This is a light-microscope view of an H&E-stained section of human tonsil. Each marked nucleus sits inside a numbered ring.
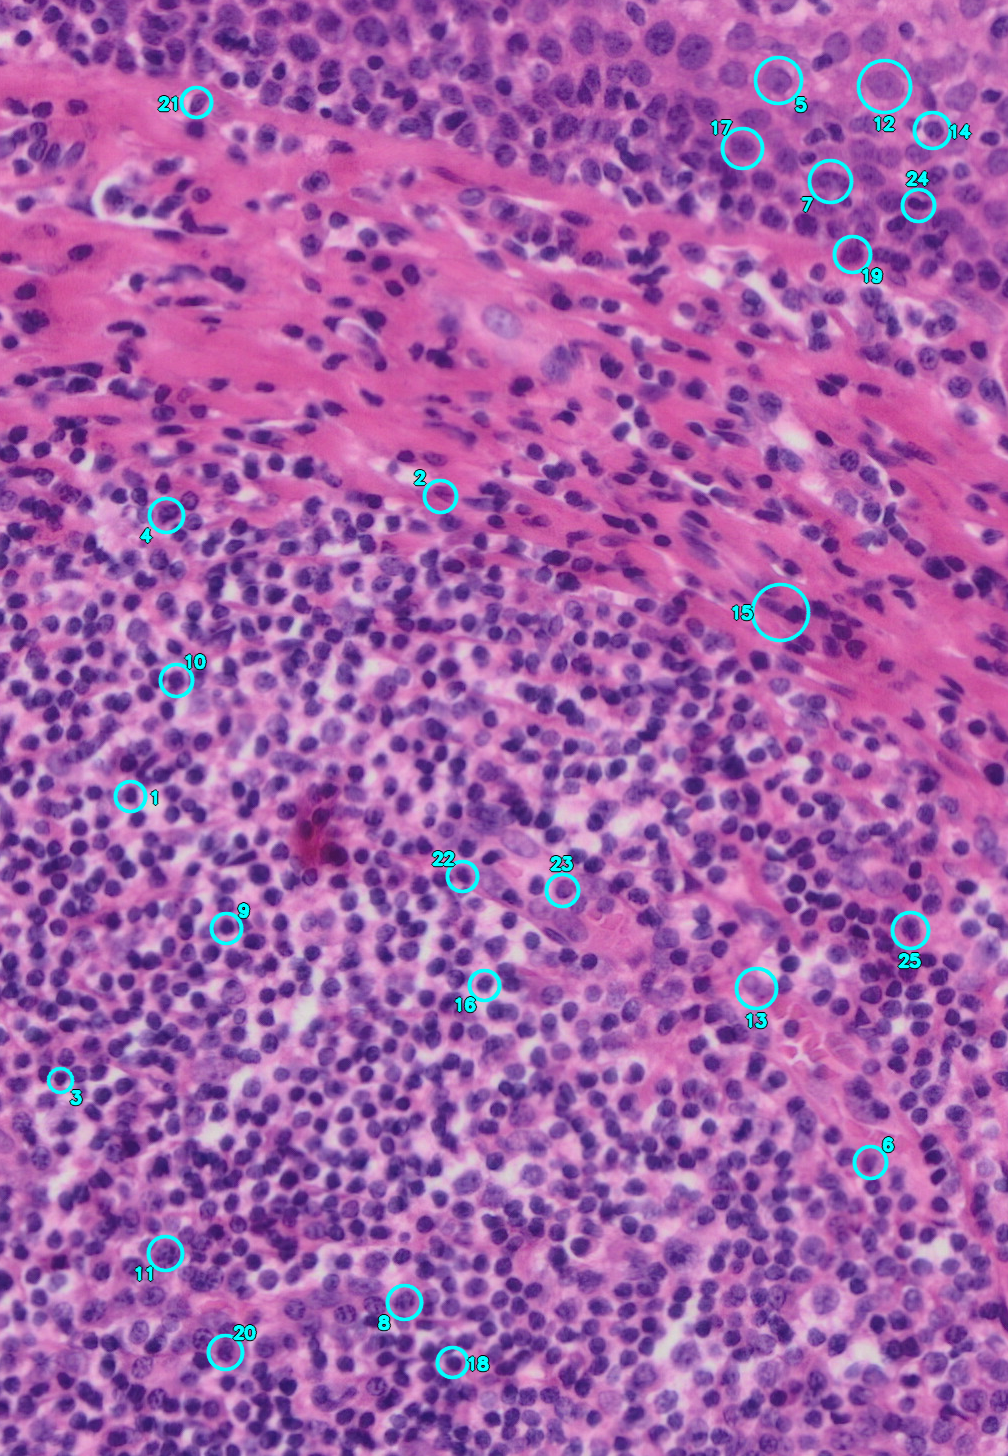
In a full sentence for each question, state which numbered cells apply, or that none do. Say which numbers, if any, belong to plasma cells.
Cells 4, 8, 11 and 20 are recognised here as plasma cells.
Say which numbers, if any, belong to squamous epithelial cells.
The cells with labels 5, 7, 12, 14, 17, 19 and 24 are squamous epithelial cells.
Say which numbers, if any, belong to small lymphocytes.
Cells 1, 3, 9, 10, 16 and 18 are of one type, namely small lymphocytes.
